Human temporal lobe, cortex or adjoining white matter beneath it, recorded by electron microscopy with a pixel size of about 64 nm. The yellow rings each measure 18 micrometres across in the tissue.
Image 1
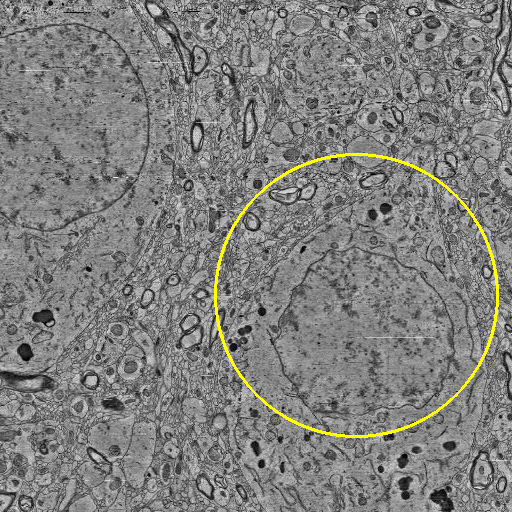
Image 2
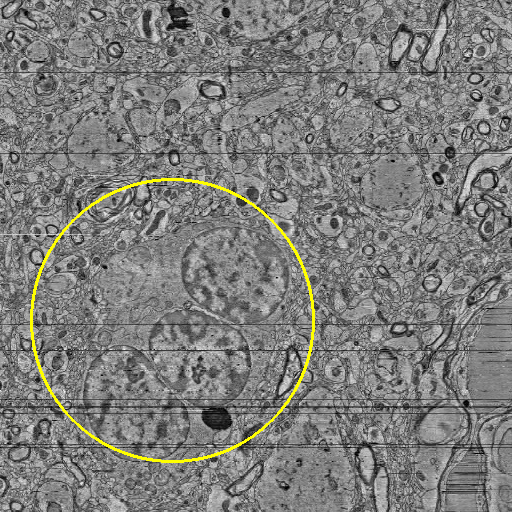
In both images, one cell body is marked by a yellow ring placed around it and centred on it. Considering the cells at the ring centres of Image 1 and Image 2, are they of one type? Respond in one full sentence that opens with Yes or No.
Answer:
No, two types apply to the ring-centred cells of Image 1 and Image 2.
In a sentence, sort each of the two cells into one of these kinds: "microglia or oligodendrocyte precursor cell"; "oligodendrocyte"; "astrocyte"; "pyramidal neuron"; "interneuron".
The first of the two cells is a pyramidal neuron, and the second is an oligodendrocyte.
